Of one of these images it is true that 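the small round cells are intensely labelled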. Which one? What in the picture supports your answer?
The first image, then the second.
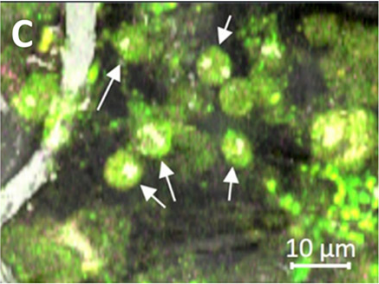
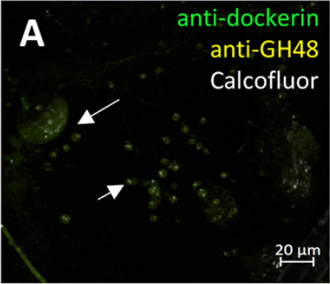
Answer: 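First image: small round bodies glow bright green-yellow. Second image: small round bodies are only faintly visible against a dark background.
Answer: the first image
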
